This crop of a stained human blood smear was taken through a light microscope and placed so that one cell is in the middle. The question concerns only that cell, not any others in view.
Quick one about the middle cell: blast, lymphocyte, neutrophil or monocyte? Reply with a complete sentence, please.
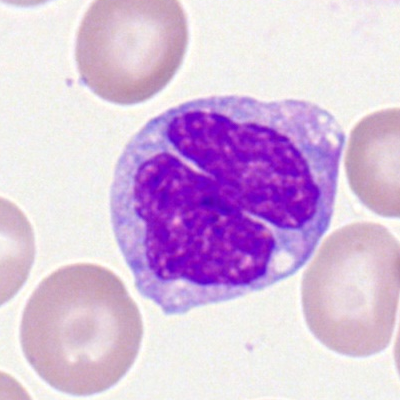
The cell of interest, in the center, is a monocyte.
